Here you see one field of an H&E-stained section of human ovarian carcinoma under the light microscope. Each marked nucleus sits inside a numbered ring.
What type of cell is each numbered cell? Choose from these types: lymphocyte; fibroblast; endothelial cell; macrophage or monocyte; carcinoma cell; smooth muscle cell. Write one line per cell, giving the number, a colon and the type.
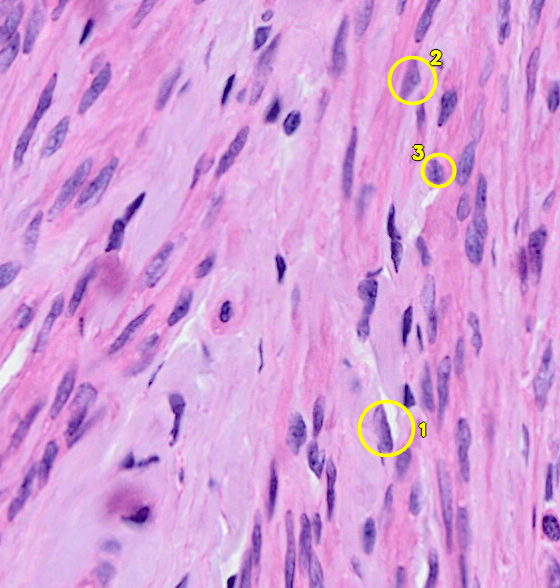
1: fibroblast
2: smooth muscle cell
3: smooth muscle cell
